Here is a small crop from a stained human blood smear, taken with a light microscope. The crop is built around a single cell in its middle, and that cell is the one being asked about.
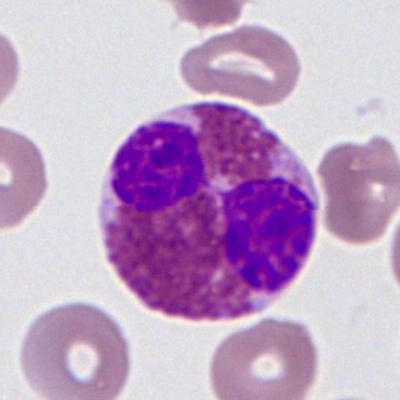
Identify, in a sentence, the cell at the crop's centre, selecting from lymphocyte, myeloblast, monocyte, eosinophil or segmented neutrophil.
The cell of interest, in the center, is an eosinophil.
